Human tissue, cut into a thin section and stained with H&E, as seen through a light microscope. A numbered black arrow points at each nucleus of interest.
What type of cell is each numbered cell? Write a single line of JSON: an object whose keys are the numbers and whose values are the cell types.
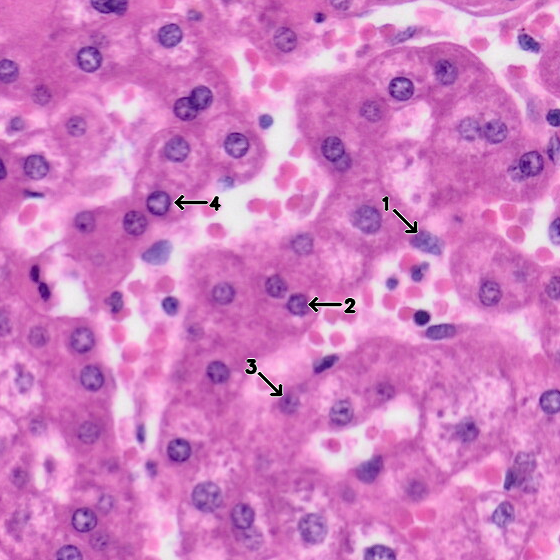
{"1": "endothelial cell", "2": "hepatocyte", "3": "hepatocyte", "4": "hepatocyte"}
